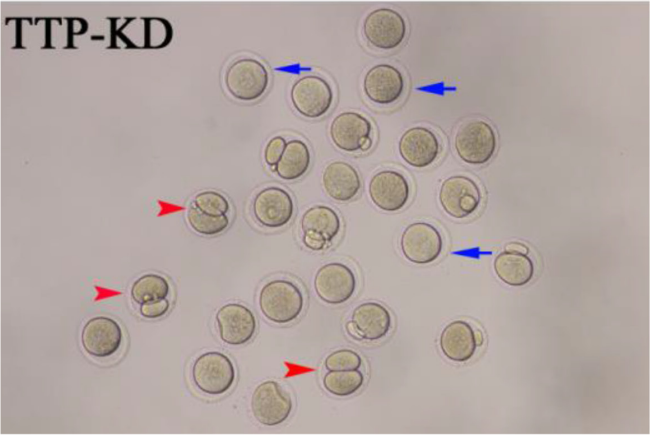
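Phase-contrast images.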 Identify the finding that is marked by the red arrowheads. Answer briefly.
apparent symmetrical division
